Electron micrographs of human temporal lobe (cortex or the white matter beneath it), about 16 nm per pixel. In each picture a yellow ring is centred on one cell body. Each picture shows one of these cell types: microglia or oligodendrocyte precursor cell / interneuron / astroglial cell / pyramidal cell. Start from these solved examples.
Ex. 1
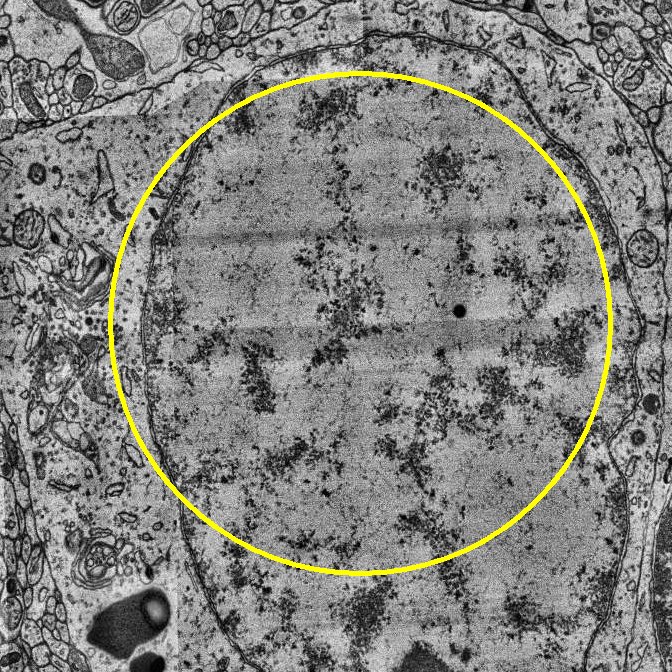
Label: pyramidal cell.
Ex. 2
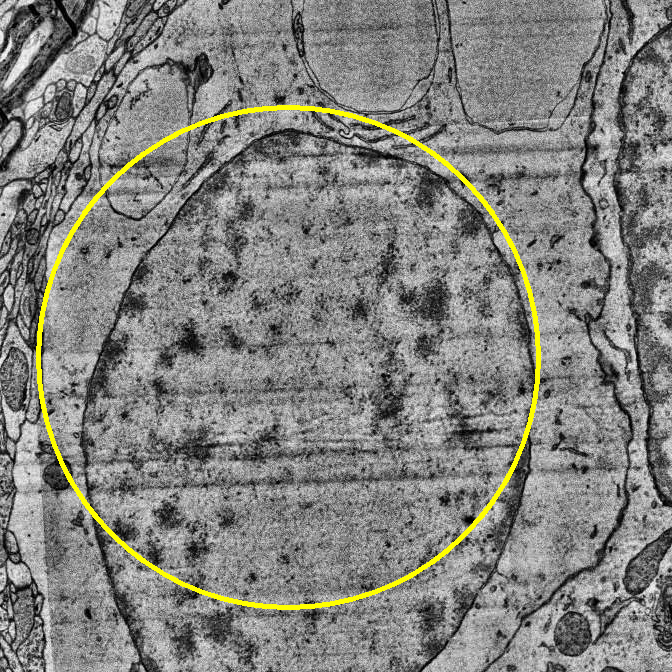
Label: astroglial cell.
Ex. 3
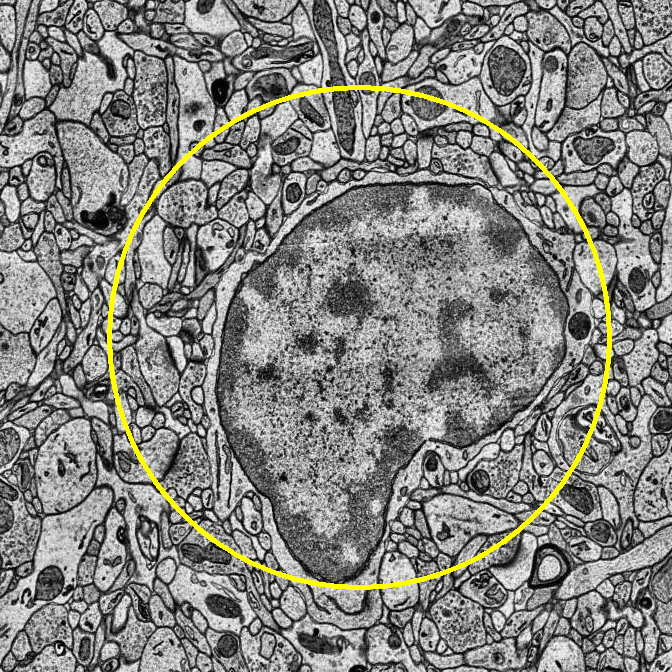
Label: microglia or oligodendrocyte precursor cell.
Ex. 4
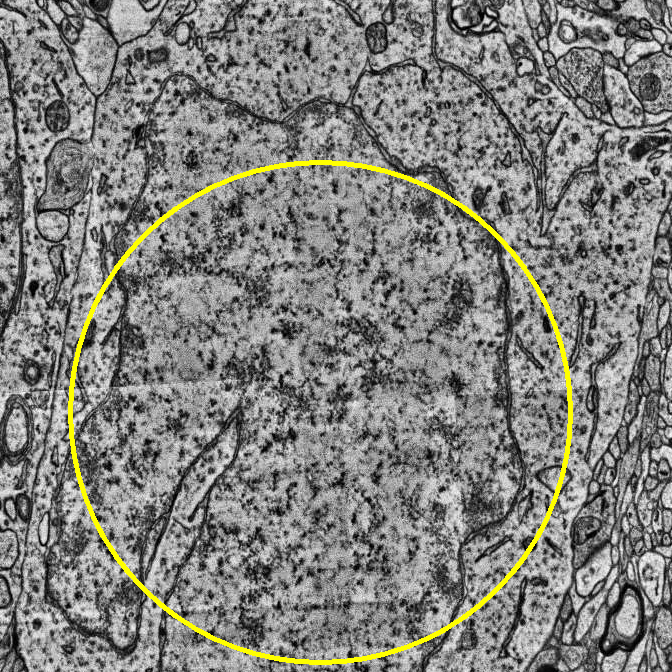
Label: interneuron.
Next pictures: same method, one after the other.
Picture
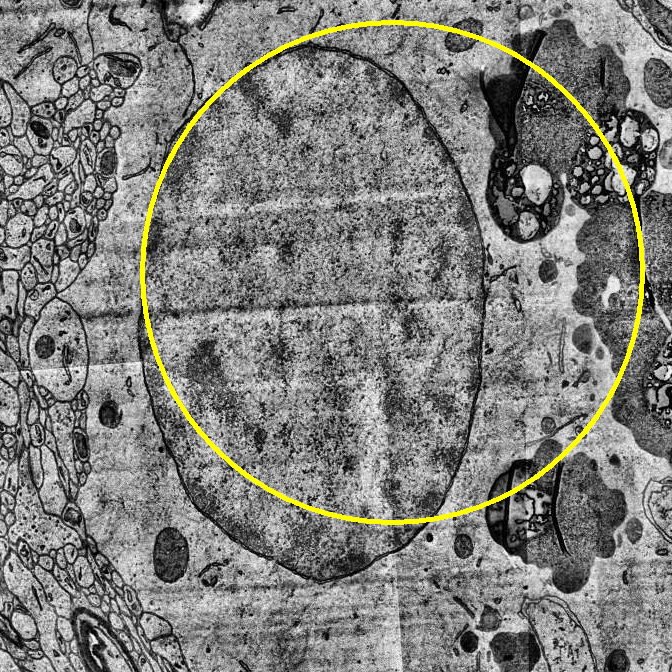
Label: astroglial cell.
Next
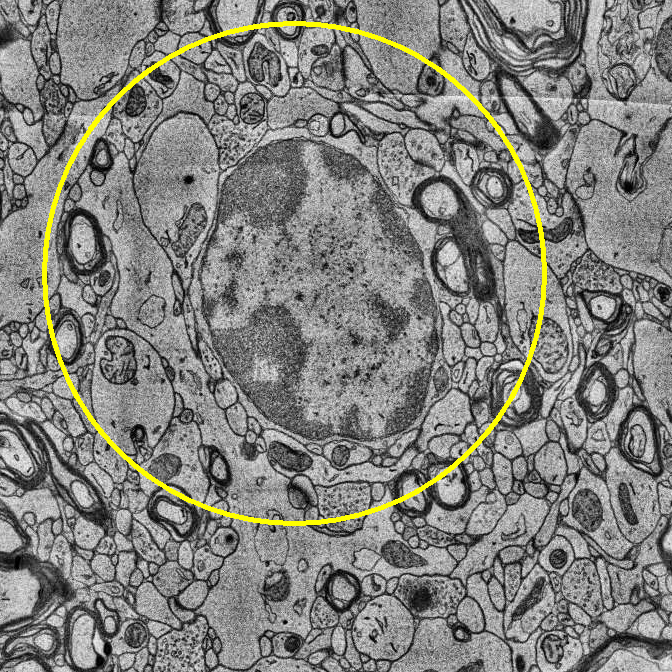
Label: microglia or oligodendrocyte precursor cell.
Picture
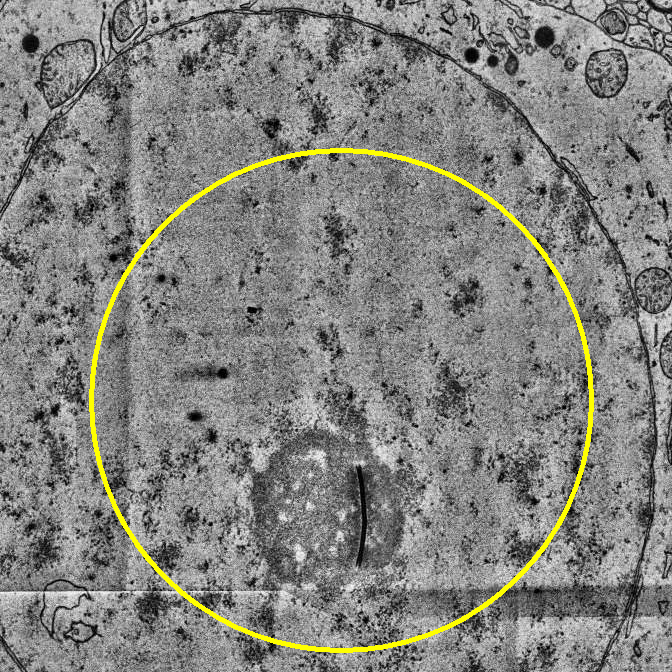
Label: pyramidal cell.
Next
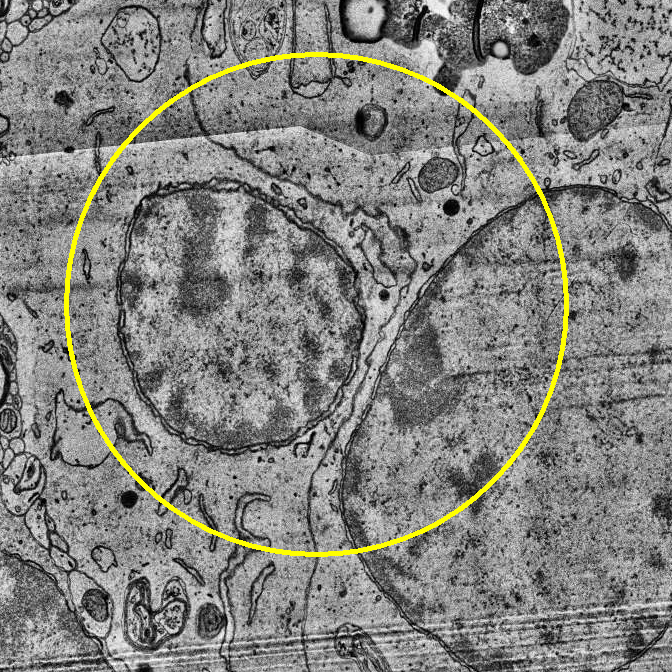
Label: astroglial cell.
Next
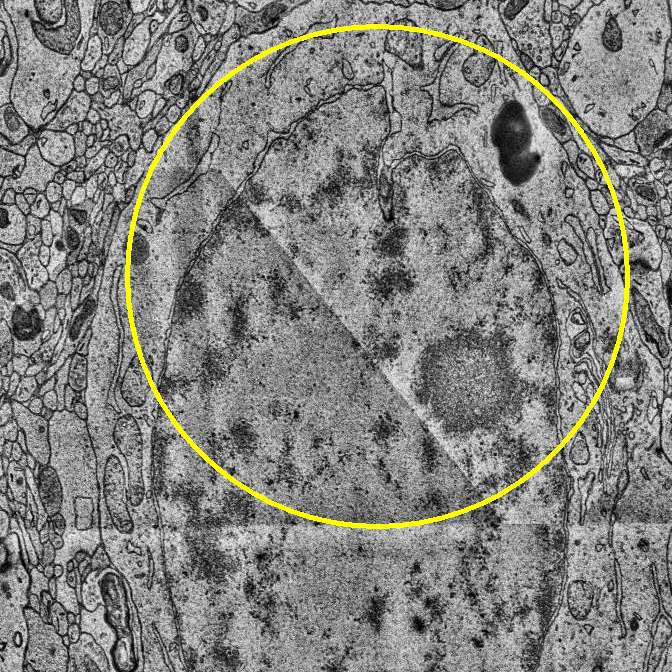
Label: interneuron.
